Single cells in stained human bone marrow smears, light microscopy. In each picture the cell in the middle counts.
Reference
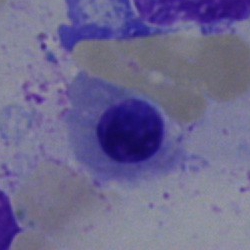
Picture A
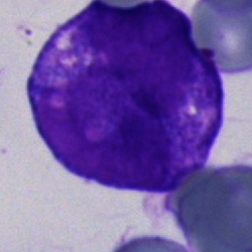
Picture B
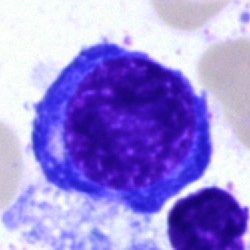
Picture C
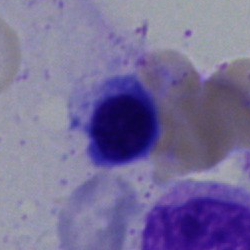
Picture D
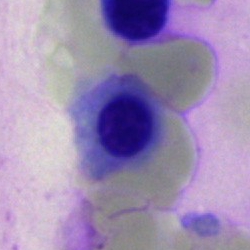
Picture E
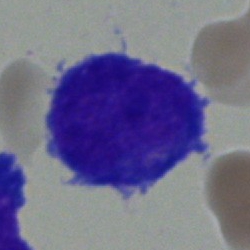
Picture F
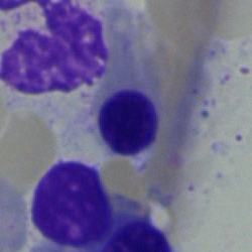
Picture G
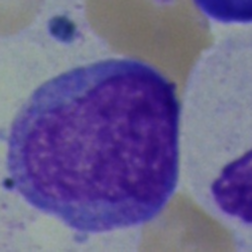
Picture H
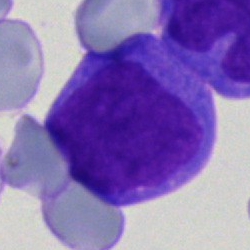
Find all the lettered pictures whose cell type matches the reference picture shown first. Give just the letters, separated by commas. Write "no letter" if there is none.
B, C, D, F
